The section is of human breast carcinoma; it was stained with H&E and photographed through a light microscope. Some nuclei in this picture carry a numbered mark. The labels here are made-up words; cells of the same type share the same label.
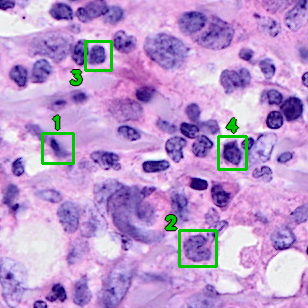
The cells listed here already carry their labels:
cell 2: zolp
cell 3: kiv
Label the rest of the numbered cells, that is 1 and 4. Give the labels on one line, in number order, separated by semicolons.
kiv; kiv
